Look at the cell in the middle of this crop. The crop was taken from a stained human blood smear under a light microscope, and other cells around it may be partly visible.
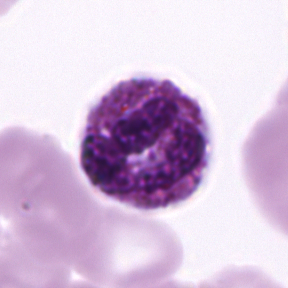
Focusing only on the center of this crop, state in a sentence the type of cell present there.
This crop is built around an eosinophil at its centre.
